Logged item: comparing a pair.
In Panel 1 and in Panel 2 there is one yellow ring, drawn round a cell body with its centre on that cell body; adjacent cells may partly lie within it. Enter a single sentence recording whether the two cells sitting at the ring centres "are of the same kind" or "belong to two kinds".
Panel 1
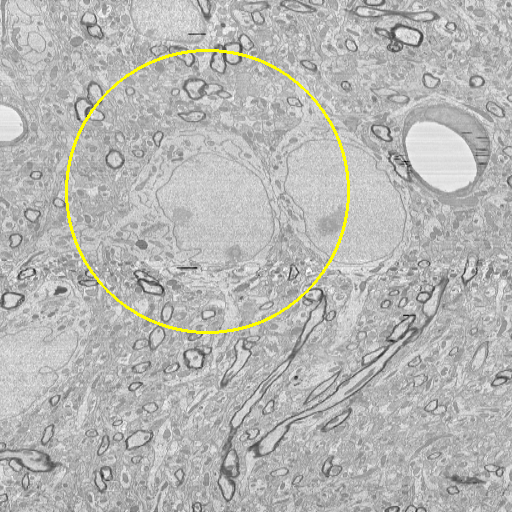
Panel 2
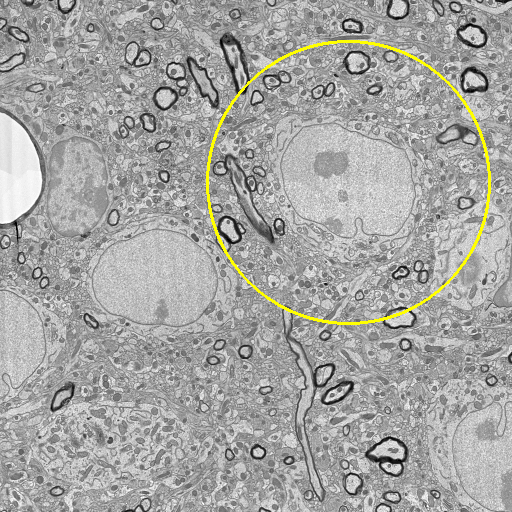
Logged: the cells centred in the rings of Panel 1 and Panel 2 are of the same kind.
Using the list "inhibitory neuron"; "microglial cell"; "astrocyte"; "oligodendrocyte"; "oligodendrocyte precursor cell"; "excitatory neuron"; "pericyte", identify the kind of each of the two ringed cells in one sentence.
The cell at the ring centre is an excitatory neuron in both pictures.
